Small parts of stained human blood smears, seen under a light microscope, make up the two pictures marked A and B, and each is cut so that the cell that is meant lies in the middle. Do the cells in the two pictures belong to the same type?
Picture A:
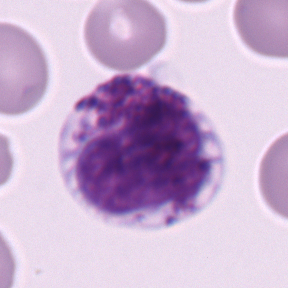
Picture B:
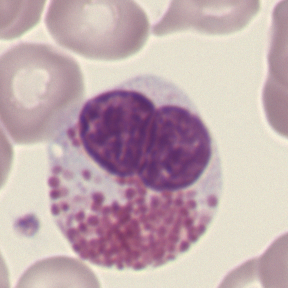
no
